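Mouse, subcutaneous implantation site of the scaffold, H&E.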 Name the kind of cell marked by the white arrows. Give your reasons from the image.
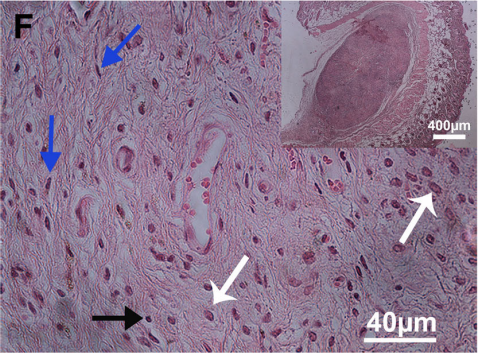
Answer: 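The marked cells are larger, with oval nuclei and some surrounding cytoplasm. They lie scattered within the fibrous tissue. The answer: macrophage.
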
